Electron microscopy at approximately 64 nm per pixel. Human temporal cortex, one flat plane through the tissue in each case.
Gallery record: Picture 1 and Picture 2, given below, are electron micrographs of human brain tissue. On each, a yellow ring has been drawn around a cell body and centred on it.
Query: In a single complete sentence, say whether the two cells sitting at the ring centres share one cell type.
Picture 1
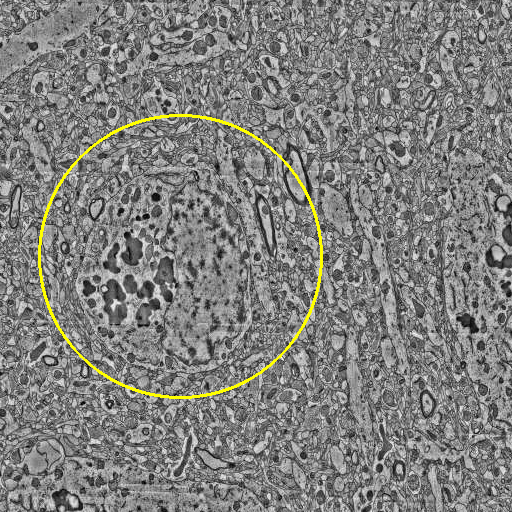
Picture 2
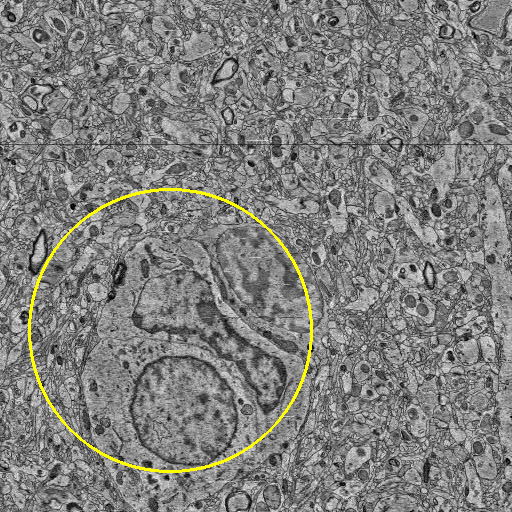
No, in the two pictures the cells at the rings' centres are of two separate types.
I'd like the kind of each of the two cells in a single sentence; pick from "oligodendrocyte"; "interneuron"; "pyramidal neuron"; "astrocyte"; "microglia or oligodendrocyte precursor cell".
The first ring marks an interneuron, and the second ring marks a microglial cell or oligodendrocyte precursor cell.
